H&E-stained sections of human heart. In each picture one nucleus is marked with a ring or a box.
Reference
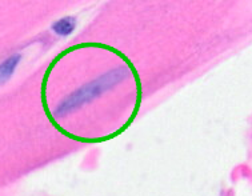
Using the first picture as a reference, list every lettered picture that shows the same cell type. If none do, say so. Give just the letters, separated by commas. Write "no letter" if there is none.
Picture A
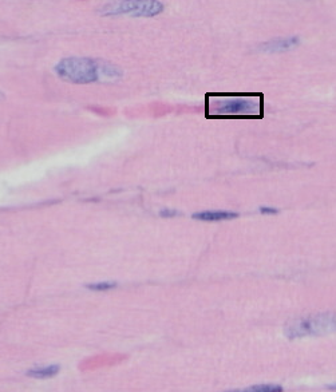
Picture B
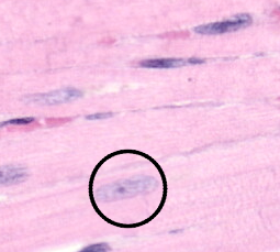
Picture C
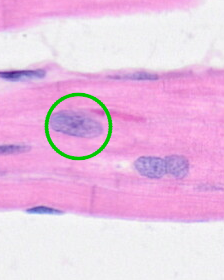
B, C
